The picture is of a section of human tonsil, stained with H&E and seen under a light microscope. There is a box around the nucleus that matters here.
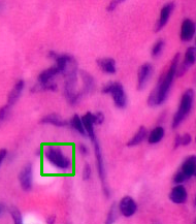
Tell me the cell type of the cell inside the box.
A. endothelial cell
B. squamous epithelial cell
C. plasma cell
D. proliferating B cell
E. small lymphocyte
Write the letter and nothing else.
A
